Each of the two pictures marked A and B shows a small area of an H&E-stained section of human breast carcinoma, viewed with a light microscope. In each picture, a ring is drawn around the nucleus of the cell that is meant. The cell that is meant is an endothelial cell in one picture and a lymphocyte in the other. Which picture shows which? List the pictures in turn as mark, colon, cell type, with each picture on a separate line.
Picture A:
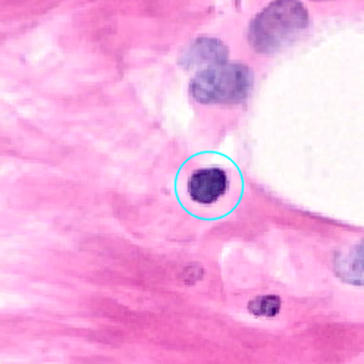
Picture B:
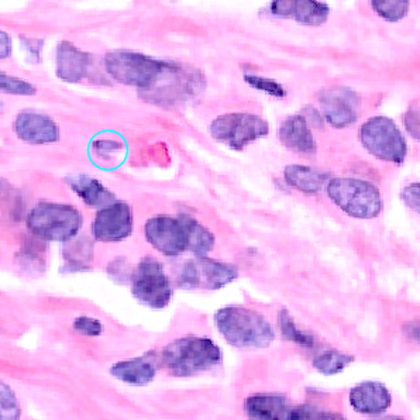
A: lymphocyte
B: endothelial cell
